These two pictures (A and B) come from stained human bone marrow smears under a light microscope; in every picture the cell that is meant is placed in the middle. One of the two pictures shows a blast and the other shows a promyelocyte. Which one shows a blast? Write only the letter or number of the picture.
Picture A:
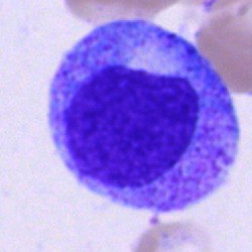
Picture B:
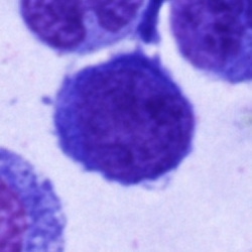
B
